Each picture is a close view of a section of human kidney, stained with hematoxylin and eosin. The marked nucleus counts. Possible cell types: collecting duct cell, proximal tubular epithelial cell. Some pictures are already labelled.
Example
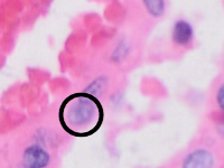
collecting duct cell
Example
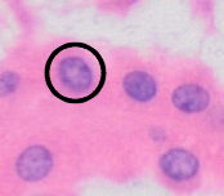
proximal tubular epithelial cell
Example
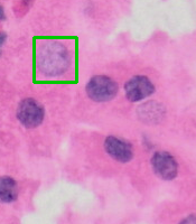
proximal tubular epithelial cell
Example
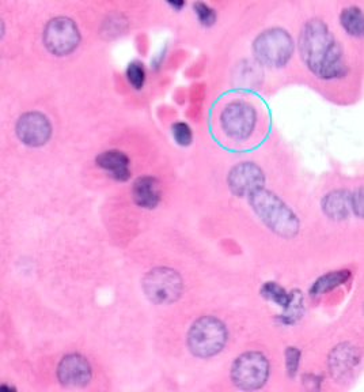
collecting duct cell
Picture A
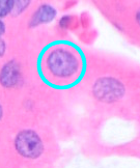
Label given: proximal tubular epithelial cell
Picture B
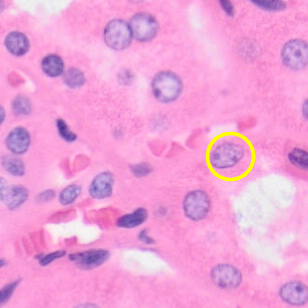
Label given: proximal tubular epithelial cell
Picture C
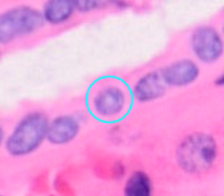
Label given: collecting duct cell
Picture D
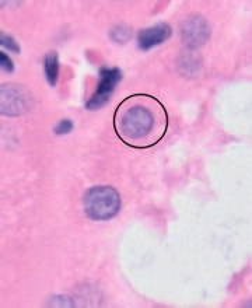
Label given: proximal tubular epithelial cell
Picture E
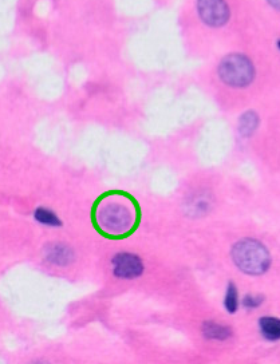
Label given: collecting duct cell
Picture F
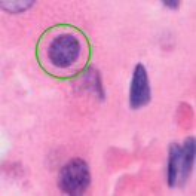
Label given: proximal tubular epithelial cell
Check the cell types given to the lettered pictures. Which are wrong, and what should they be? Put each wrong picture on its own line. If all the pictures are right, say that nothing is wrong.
Wrong: E (collecting duct cell); correct: proximal tubular epithelial cell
